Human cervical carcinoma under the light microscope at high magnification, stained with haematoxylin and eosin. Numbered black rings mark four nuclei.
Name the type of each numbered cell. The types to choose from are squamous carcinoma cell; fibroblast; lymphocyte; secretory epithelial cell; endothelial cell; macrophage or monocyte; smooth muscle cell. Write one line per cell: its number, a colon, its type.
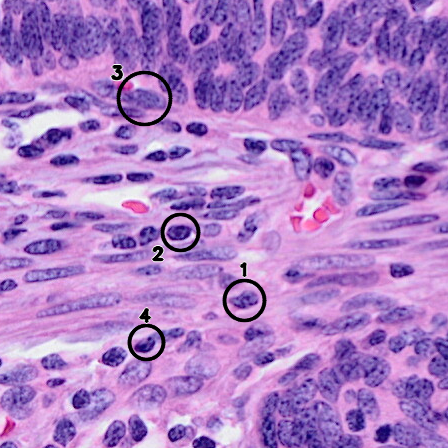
1: lymphocyte
2: lymphocyte
3: endothelial cell
4: lymphocyte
